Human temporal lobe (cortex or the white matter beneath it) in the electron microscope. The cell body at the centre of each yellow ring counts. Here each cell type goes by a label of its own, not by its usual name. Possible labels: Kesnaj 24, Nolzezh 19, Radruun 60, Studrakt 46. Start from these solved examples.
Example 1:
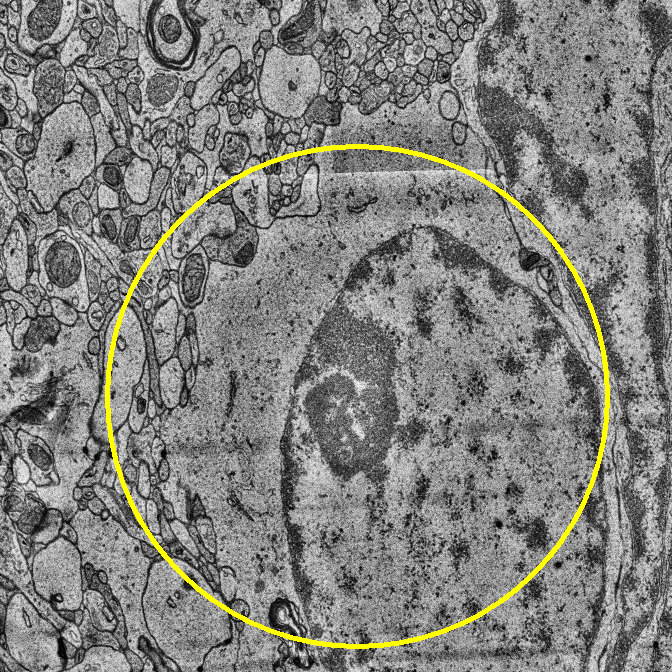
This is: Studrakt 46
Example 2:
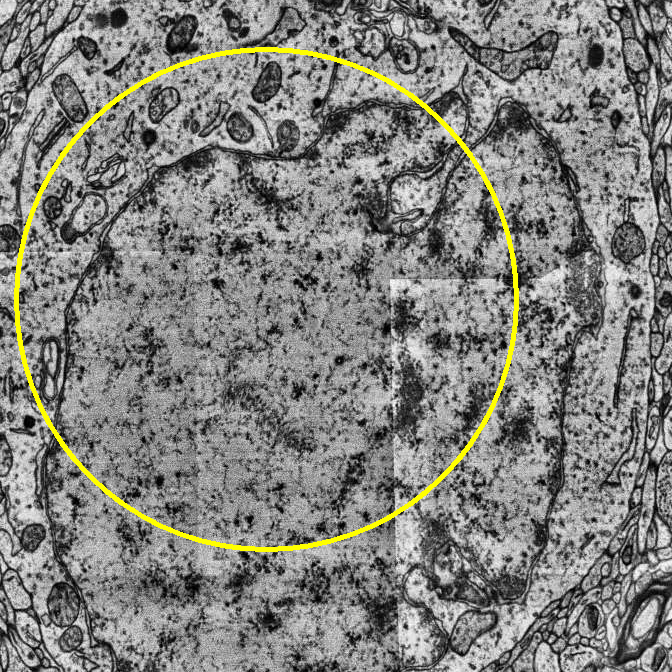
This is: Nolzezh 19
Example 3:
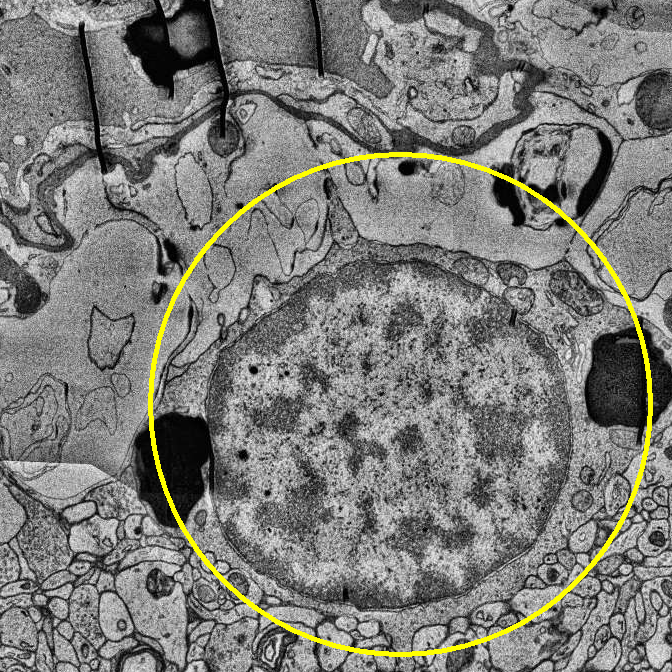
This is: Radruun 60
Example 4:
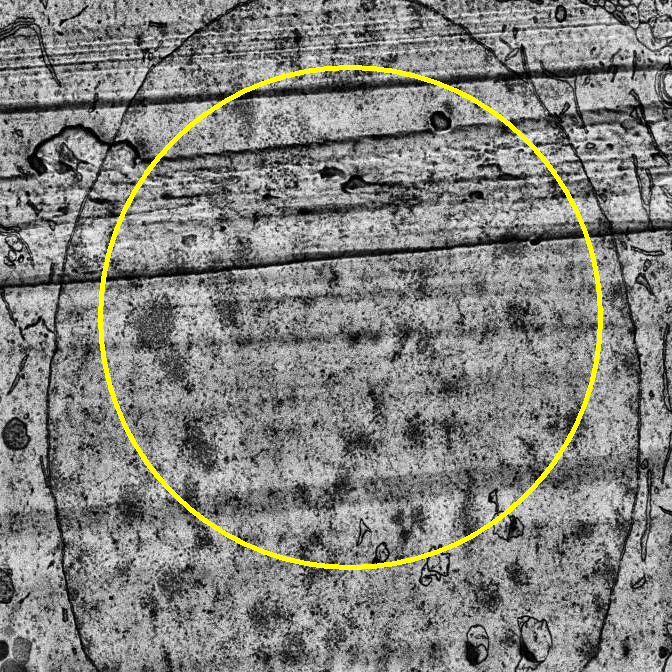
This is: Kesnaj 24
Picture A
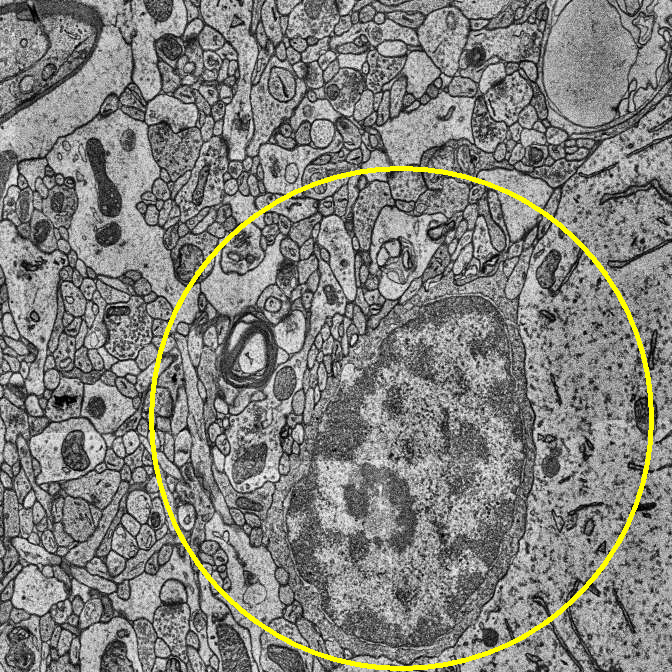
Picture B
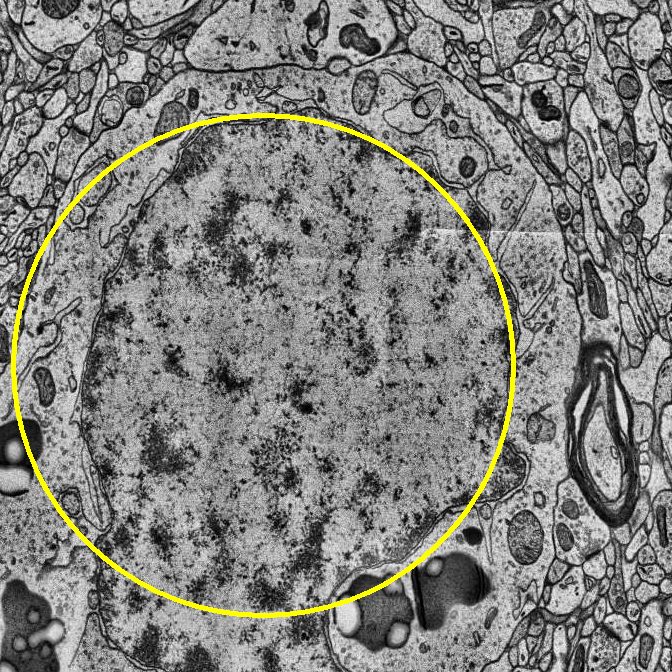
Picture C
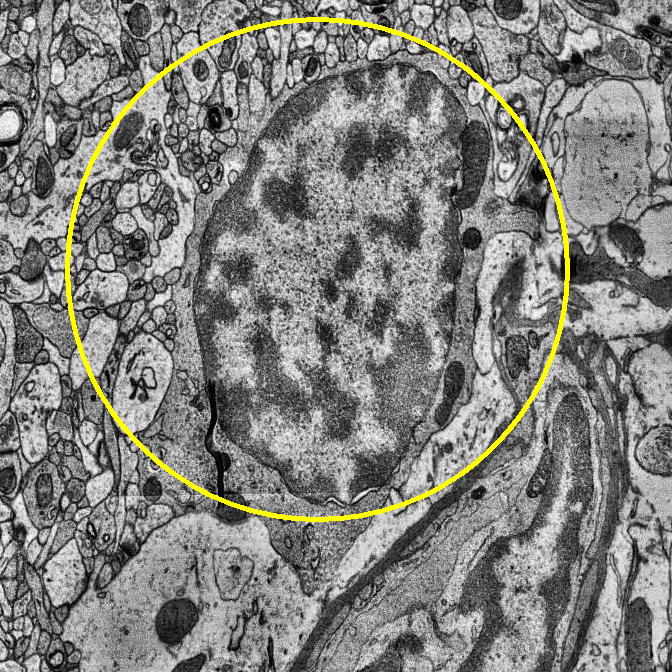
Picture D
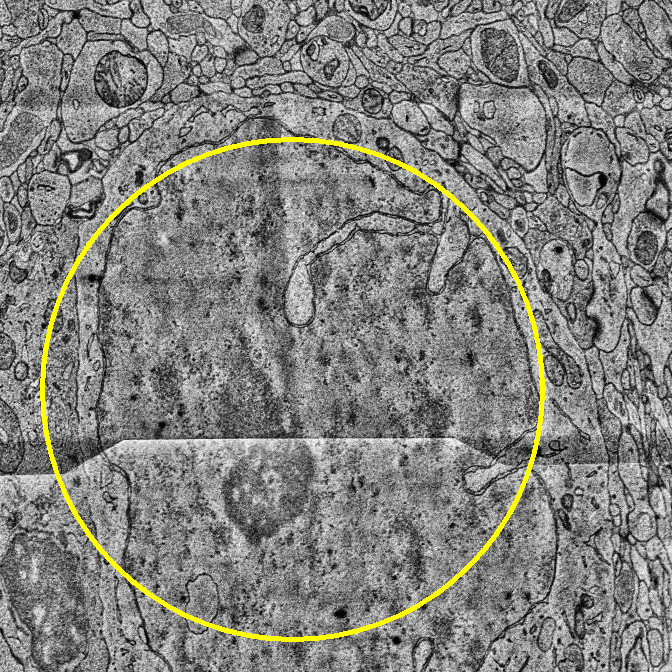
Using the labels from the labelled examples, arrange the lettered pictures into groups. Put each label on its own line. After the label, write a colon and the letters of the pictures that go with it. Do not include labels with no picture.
Nolzezh 19: B, D
Radruun 60: A, C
